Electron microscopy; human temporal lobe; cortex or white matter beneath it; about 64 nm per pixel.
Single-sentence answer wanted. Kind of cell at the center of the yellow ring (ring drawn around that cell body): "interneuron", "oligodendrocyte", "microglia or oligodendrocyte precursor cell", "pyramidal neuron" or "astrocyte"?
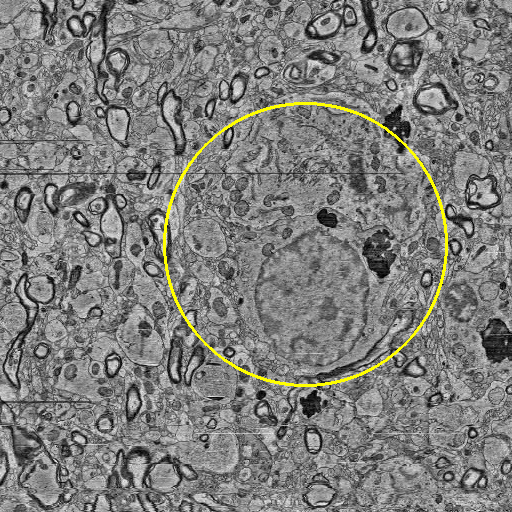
The cell centered in the ring is an oligodendrocyte.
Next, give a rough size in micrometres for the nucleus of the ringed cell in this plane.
About 9 by 7 micrometers for the nucleus, in this plane.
